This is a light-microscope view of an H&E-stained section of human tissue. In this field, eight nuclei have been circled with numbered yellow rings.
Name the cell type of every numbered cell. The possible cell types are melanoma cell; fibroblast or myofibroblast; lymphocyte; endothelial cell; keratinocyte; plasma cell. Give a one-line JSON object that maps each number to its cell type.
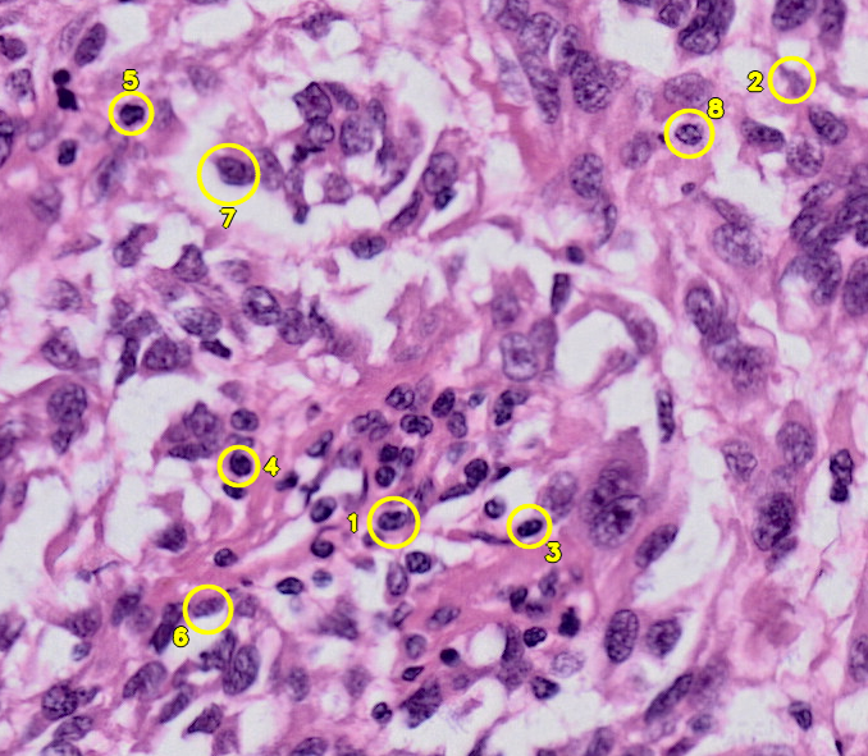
{"1": "lymphocyte", "2": "melanoma cell", "3": "lymphocyte", "4": "lymphocyte", "5": "lymphocyte", "6": "melanoma cell", "7": "melanoma cell", "8": "lymphocyte"}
